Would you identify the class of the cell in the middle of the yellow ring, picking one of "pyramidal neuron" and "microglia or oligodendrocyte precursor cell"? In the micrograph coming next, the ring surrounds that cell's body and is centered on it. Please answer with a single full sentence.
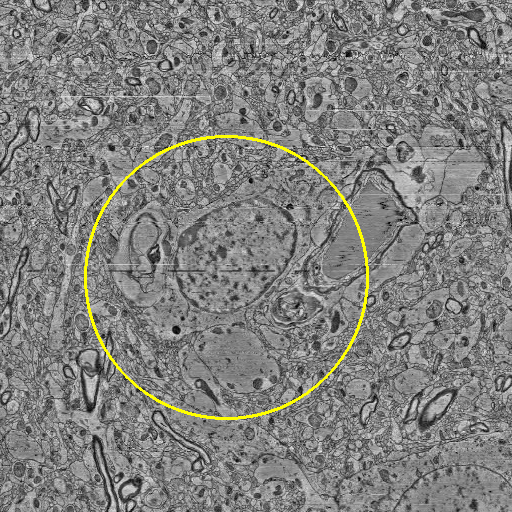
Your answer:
In the micrograph, it is a microglial cell or oligodendrocyte precursor cell whose body lies at the ring's center.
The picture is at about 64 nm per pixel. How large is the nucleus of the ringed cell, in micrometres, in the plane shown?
In this plane the nucleus is about 9 micrometres by 6.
